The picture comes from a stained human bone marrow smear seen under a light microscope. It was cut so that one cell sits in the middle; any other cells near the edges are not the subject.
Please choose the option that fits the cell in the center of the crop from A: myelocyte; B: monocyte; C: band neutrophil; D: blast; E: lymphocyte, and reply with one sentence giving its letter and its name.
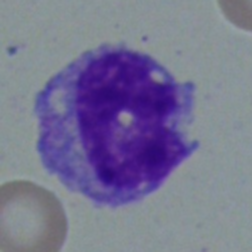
Option B is accurate; the centrally placed cell is a monocyte.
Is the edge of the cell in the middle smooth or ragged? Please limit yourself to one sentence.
Irregular and not smooth, the cell boundary is ragged or drawn out into projections.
